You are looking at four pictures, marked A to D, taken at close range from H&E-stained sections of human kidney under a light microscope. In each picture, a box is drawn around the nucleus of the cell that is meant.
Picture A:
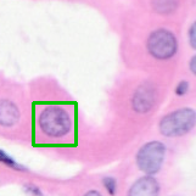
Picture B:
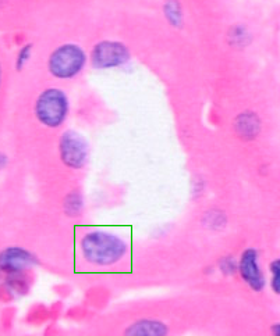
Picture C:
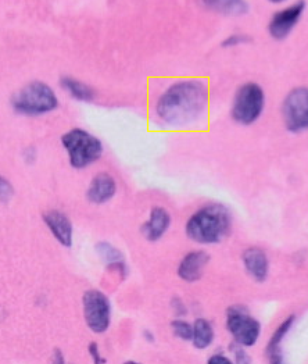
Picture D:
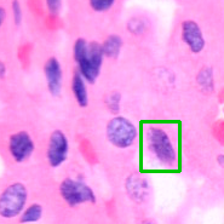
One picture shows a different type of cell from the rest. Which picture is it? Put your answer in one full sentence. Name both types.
Picture A is the odd one out: it shows a proximal tubule cell, while the others show “loop of Henle or distal tubule cells”.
